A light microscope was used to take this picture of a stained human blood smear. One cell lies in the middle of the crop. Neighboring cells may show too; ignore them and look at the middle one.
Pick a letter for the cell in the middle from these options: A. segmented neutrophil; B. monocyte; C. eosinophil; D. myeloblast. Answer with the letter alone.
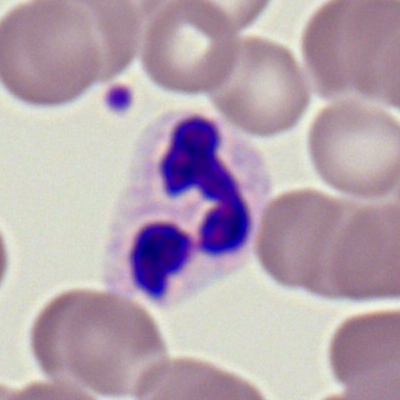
A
